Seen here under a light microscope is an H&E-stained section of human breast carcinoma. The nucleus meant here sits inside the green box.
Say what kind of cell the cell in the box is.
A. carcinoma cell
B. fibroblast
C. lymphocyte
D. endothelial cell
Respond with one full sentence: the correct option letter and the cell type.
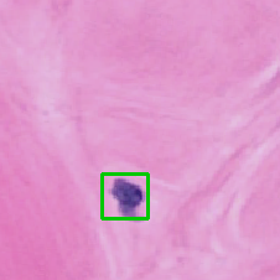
Here the cell in the box is a lymphocyte; pick option C.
